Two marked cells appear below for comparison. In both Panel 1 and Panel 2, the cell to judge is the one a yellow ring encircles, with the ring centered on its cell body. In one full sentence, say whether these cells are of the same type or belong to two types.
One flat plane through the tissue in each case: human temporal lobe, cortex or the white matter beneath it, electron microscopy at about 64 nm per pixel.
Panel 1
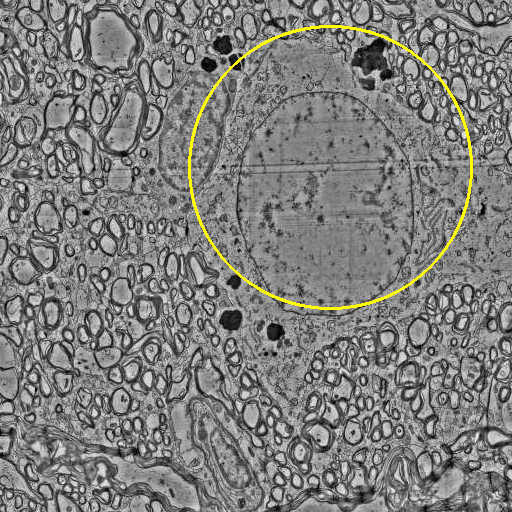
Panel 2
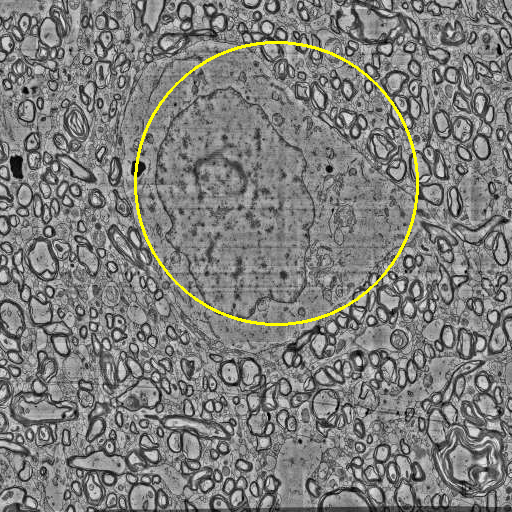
The cell centered in the Panel 1 ring and the one in Panel 2 are of the same type.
